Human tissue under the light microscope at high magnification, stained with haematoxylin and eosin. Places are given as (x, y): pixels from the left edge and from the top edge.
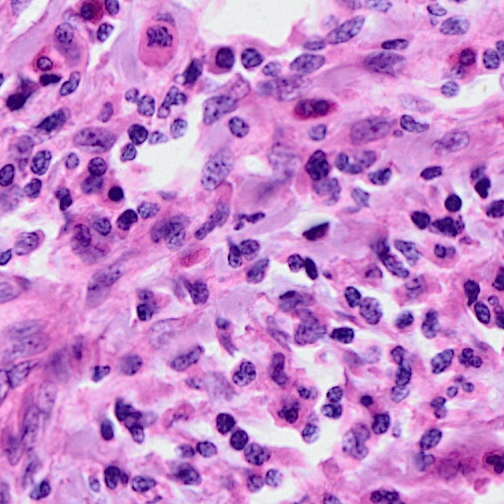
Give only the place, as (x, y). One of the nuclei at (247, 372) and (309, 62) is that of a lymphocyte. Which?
(247, 372)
